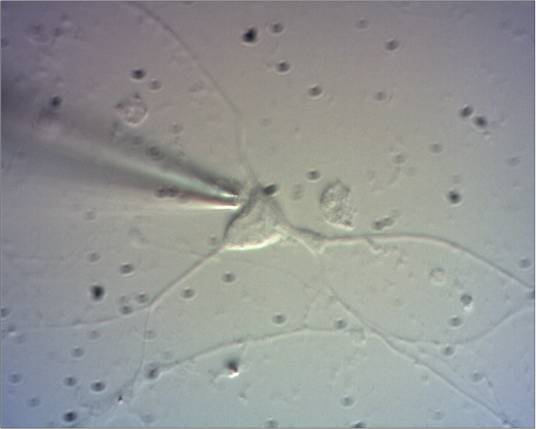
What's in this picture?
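The cell body lies near the centre and has a roughly triangular, pyramidal shape. Several long, thin processes leave the cell body in different directions, giving it a multipolar appearance, and they run far across the field. The background holds scattered small, rounded particles and a few other rounded cell profiles that do not belong to the neuron. The tip of the pipette sits against the upper edge of the cell body.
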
